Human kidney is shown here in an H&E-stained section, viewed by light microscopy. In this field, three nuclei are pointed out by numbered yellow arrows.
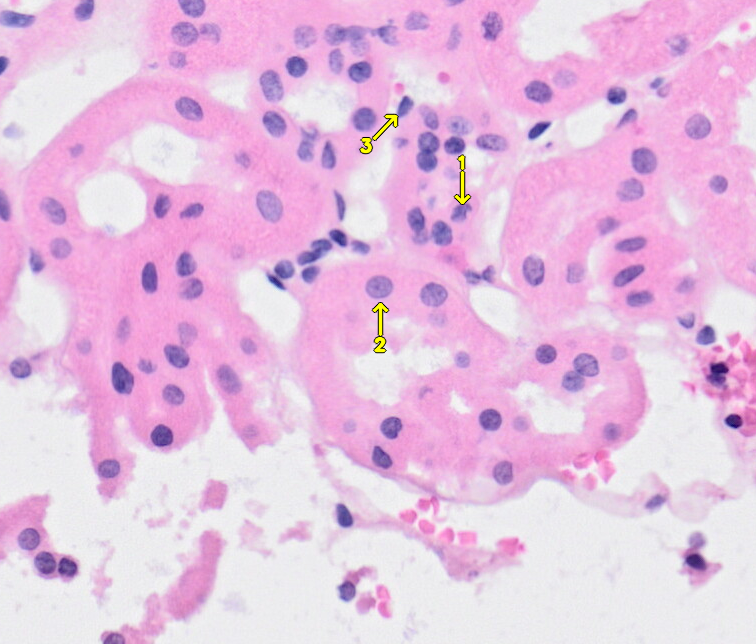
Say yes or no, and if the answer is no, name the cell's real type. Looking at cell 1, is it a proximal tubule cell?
No, it is a collecting duct cell.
